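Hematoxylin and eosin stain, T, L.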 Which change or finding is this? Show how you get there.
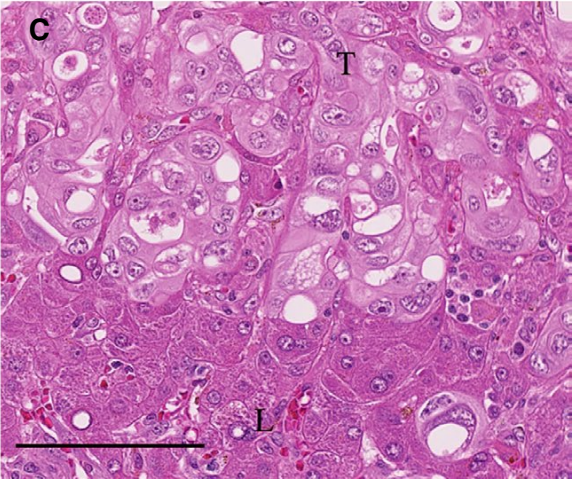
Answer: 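The tumor cells replaced the hepatocytes without destroying the trabecular architecture of the liver. Large pale cells with vacuolated cytoplasm and large nuclei occupy the upper part, directly abutting liver cell cords below. The tumor cells sit in plate-like arrangements continuous with the liver cell cords, with no fibrous band at the interface. Few inflammatory cells at the border.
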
